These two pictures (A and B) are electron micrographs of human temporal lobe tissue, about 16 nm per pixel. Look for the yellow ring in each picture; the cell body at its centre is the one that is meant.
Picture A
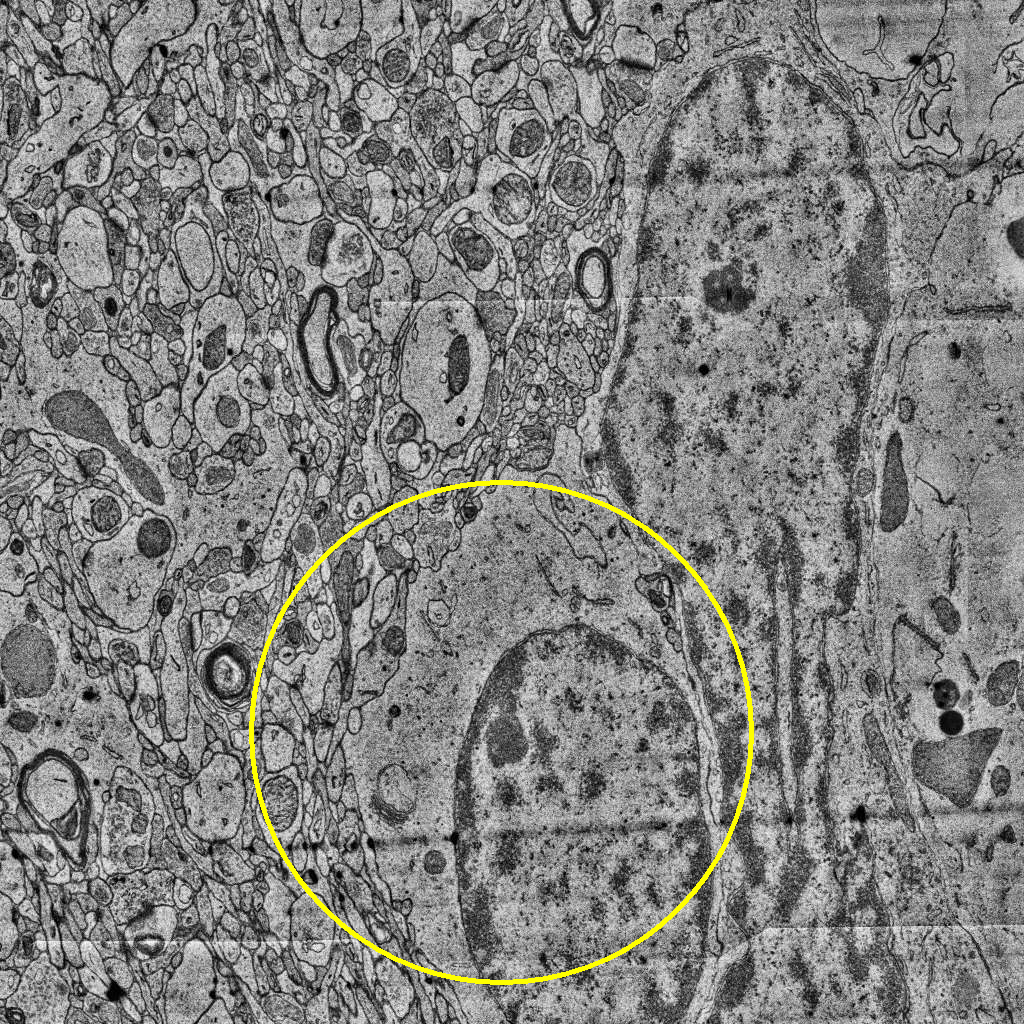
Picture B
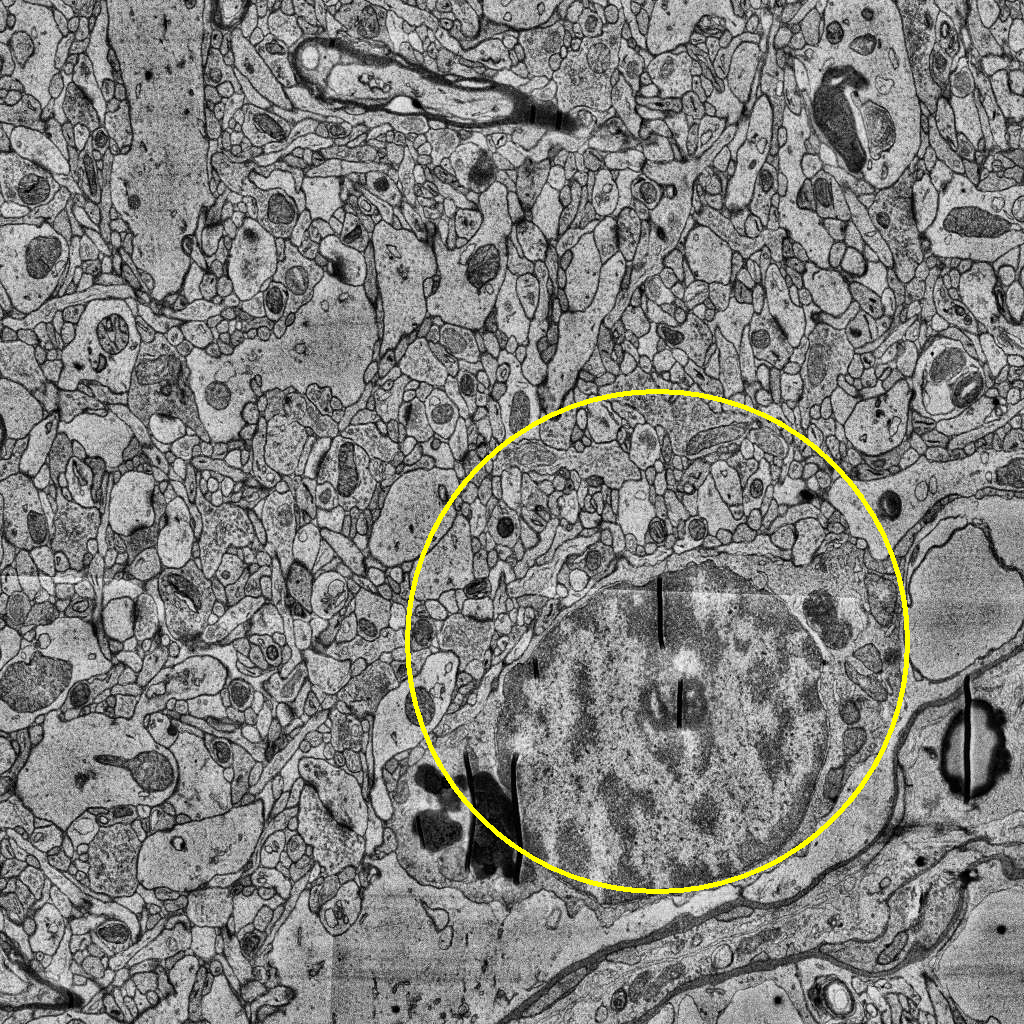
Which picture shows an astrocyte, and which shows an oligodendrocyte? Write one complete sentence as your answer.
It is picture A that shows an astrocyte, and picture B that shows an oligodendrocyte.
